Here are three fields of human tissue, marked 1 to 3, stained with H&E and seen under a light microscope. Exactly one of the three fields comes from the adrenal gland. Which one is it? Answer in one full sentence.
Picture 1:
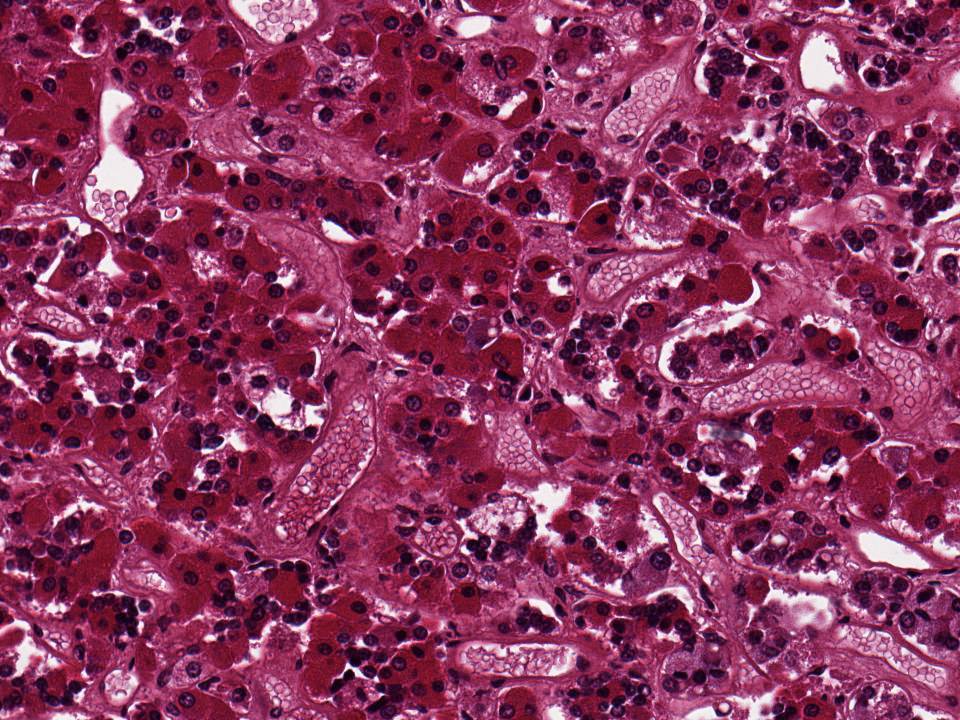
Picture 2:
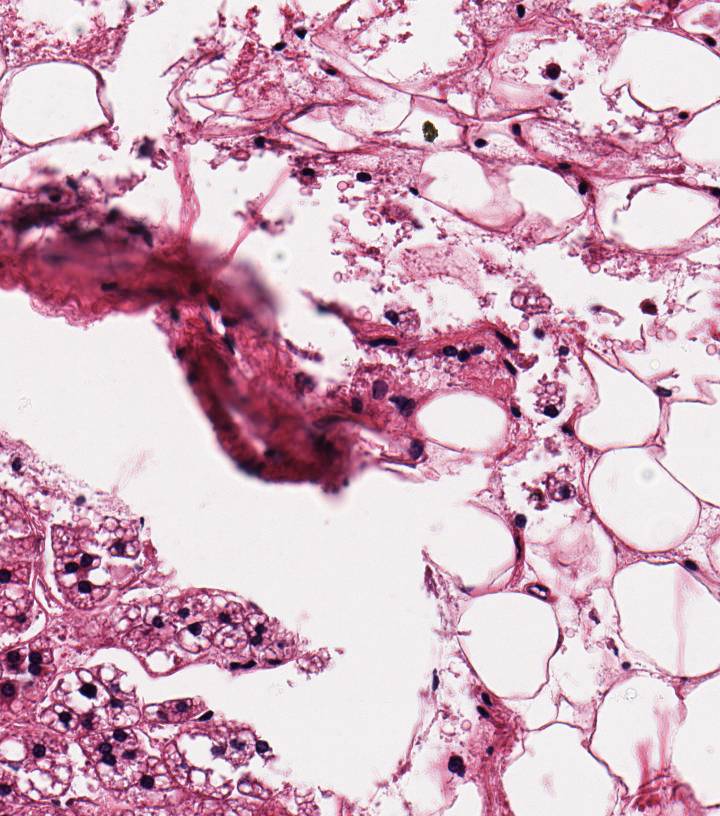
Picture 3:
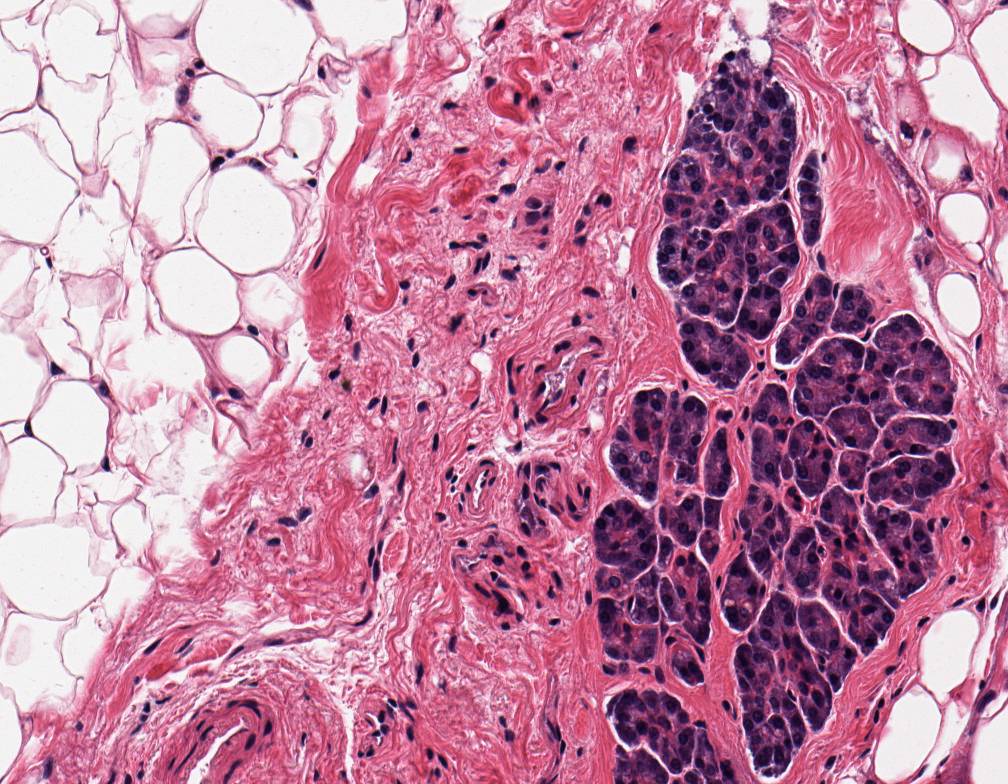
The one that comes from the adrenal gland is picture 2.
